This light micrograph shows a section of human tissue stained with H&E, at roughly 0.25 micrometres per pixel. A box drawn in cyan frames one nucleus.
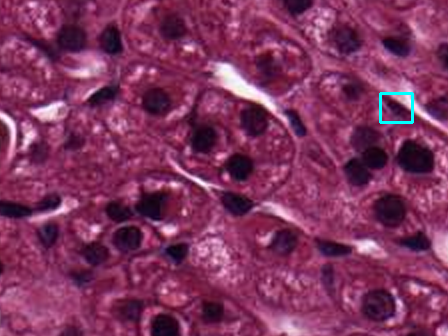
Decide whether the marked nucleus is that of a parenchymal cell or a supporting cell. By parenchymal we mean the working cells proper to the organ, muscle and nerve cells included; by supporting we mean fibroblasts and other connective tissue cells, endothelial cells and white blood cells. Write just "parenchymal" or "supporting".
supporting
